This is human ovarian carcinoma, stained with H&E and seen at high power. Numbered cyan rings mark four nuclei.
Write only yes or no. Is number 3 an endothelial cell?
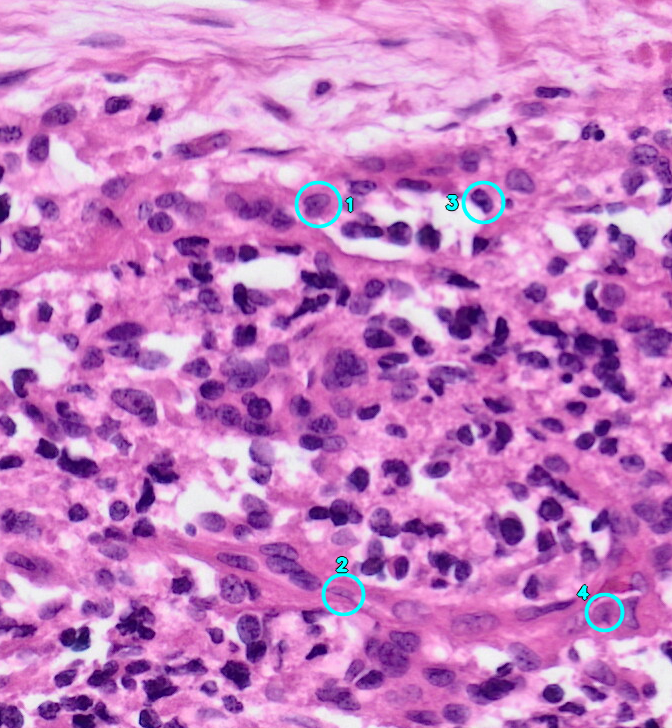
no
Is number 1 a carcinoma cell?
yes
